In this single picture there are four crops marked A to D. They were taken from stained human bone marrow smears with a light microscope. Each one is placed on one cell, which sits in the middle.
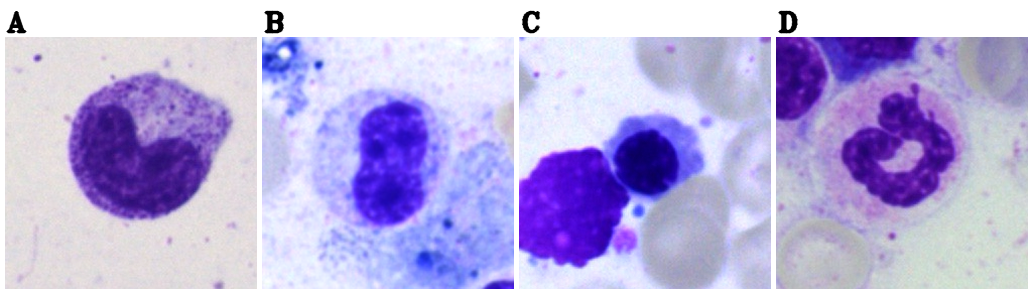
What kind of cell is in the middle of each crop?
A: band neutrophil
B: band neutrophil
C: erythroblast
D: segmented neutrophil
